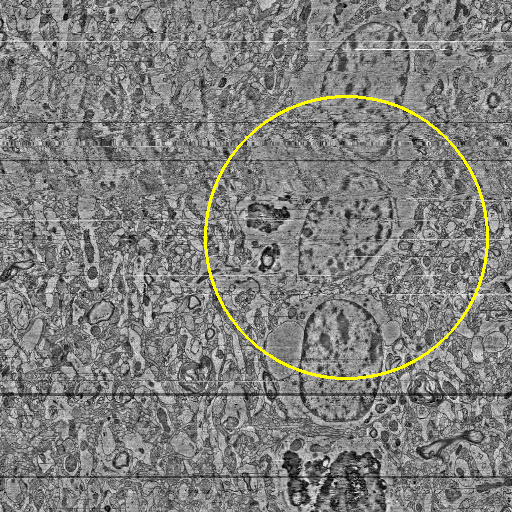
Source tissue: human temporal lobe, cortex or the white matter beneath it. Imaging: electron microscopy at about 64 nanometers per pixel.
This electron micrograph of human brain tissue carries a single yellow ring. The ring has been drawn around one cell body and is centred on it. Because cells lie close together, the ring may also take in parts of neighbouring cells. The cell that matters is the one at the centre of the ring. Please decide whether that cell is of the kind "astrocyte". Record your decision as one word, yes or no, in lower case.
yes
